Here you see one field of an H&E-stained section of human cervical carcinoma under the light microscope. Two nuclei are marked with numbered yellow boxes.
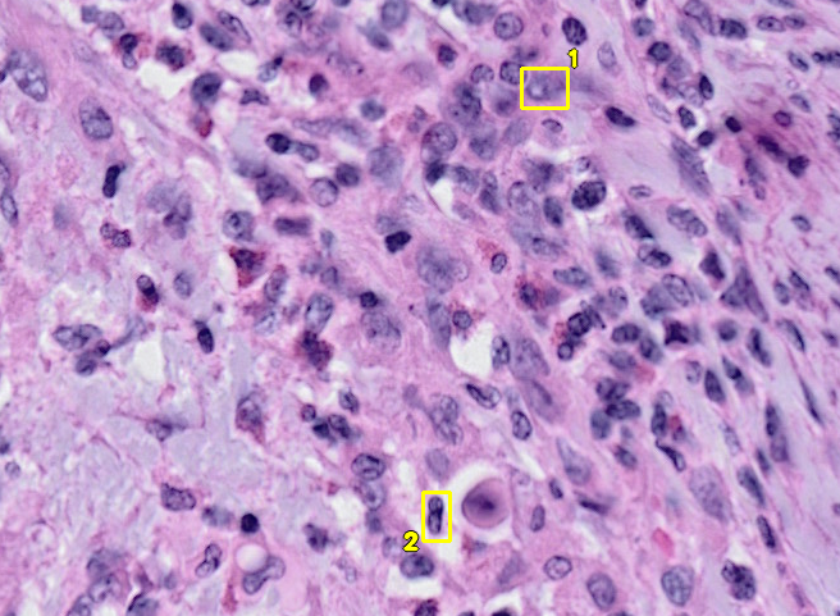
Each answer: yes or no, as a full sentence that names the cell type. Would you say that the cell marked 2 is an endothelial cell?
No, the identification of cell 2 as an endothelial cell is incorrect; it is a lymphocyte.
